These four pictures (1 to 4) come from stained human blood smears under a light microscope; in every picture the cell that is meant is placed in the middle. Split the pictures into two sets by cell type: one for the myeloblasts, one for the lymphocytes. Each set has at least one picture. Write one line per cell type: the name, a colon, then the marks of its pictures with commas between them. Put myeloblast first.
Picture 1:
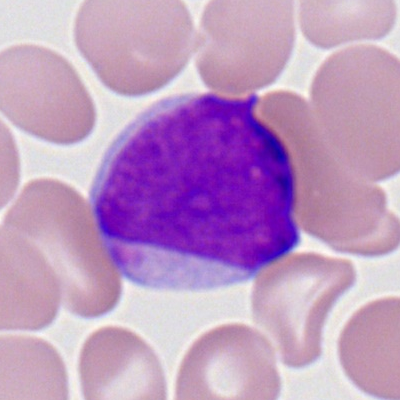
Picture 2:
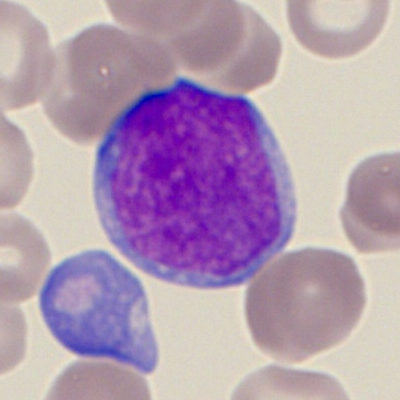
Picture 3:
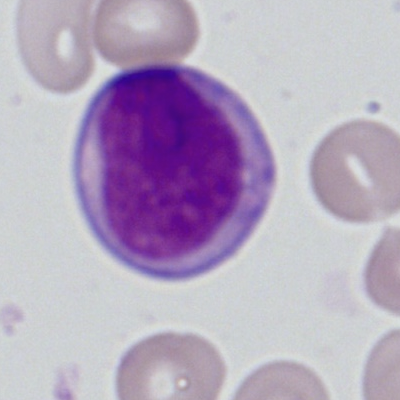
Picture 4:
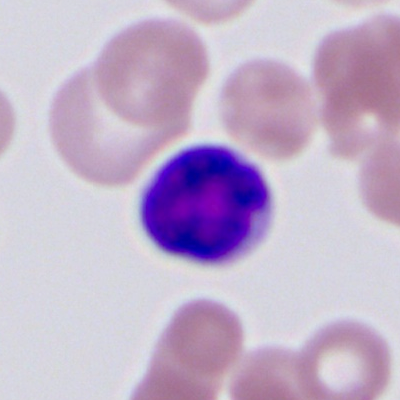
myeloblast: 1, 2, 3
lymphocyte: 4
